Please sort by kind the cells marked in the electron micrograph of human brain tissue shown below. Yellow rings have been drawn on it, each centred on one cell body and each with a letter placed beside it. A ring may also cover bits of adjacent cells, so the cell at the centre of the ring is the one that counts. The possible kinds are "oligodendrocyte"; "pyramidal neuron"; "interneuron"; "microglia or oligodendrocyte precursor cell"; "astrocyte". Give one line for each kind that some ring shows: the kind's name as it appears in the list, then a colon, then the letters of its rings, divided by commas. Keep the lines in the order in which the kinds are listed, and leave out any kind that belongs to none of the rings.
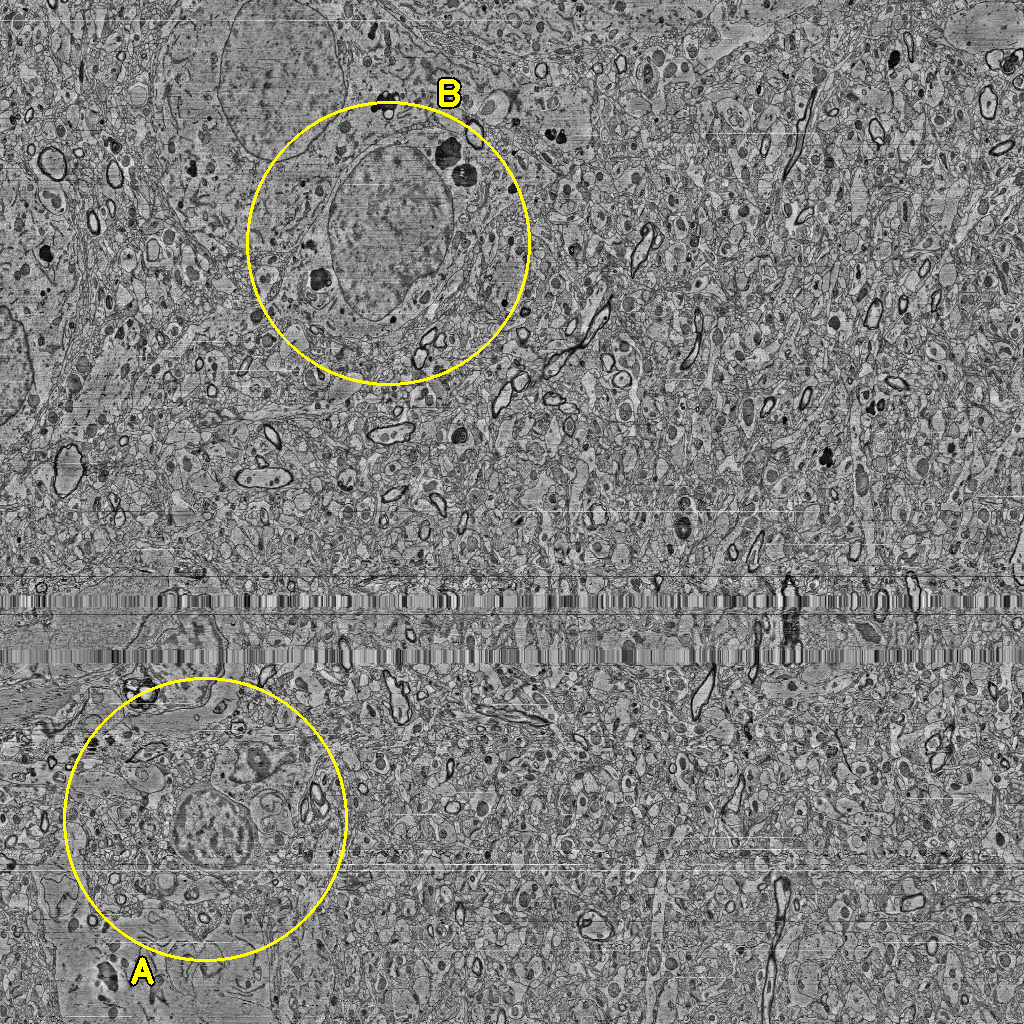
oligodendrocyte: A
interneuron: B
